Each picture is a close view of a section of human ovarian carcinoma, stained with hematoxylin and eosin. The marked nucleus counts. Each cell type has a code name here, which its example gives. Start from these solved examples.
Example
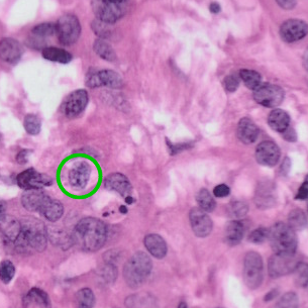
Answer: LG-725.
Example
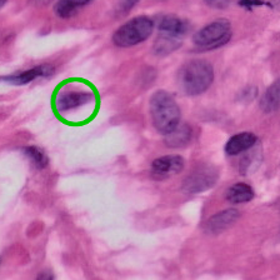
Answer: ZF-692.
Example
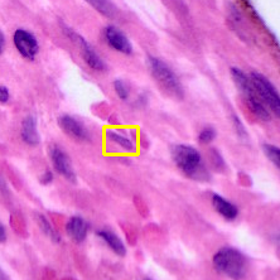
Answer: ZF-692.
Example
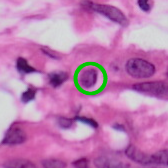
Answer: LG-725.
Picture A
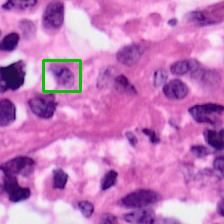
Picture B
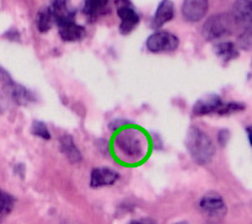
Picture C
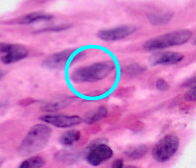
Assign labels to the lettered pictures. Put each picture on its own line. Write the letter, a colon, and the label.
A: LG-725.
B: LG-725.
C: ZF-692.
